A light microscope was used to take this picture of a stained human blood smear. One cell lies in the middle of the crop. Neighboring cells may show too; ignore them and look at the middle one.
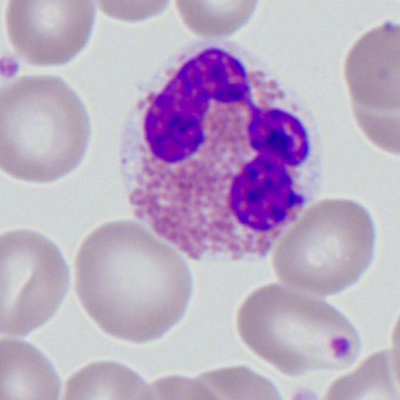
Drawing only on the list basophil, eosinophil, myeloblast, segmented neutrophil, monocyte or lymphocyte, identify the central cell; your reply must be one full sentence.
The cell marked by its central position in the crop is an eosinophil.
